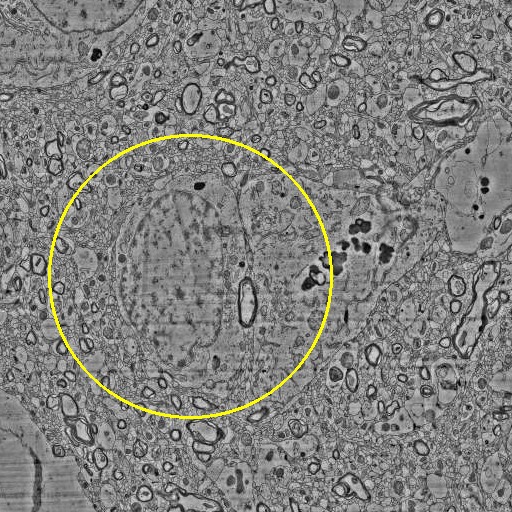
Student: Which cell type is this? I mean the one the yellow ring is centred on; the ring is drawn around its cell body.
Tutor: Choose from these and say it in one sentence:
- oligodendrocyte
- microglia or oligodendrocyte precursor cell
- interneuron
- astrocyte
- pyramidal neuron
The cell the ring is centred on is an interneuron.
